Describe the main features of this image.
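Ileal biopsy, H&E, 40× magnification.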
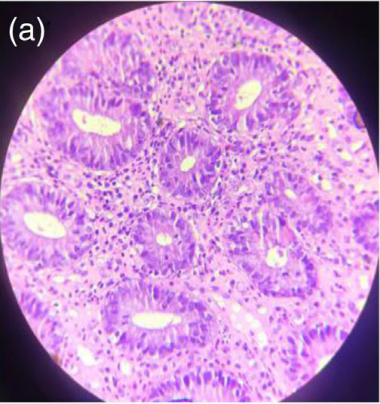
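Crypts are lined by tall columnar epithelium with basally placed, elongated, dark nuclei arranged in a palisade around small open lumens. Crypts keep round profiles and fairly regular spacing. The lamina propria between them is densely cellular, filled with small round dark nuclei of lymphocytes and plasma cells. A few spindle stromal nuclei and pale pink cytoplasm lie among them. Staining is pink-purple, with cytoplasm pale pink and nuclei deep purple.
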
